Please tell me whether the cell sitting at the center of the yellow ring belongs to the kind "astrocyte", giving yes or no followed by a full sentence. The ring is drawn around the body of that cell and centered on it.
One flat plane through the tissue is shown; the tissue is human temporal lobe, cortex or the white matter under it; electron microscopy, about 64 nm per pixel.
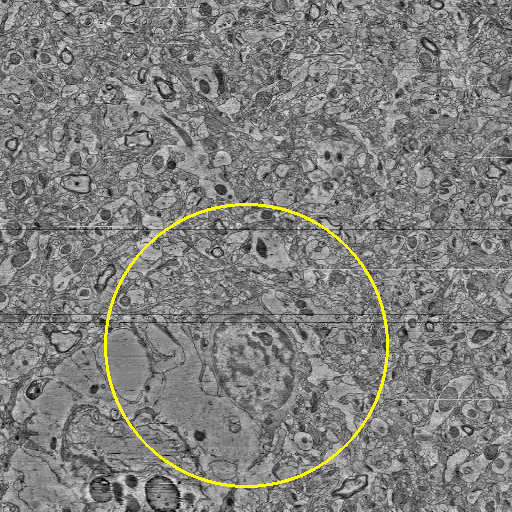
No, the cell at the center of the ring in the picture is of another kind.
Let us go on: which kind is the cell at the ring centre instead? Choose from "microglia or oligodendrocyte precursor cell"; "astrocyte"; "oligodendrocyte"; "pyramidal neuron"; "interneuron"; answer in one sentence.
Sitting at the ring centre is an oligodendrocyte.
